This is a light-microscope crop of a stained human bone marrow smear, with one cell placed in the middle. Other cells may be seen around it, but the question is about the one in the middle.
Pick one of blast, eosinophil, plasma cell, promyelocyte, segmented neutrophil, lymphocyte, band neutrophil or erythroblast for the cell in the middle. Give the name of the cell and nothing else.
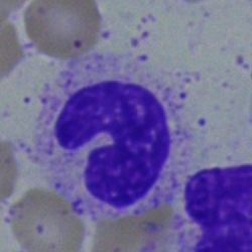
band neutrophil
